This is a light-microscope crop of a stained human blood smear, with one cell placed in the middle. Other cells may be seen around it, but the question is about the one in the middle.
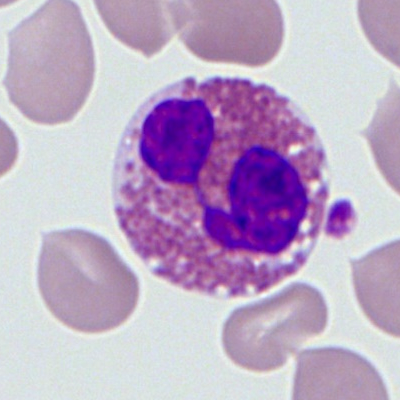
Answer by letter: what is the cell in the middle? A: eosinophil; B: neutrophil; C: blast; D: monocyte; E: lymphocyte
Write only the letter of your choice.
A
